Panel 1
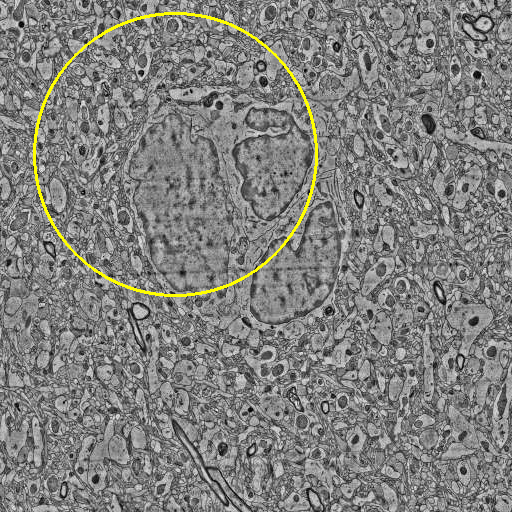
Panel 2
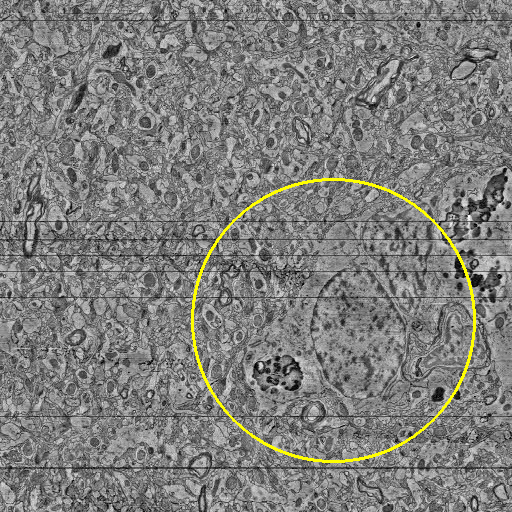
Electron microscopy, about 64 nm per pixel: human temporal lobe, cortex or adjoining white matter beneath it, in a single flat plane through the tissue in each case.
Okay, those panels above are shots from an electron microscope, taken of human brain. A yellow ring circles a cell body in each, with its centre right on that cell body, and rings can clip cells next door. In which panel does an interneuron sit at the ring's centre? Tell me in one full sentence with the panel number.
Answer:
The cell you asked for sits at the ring's centre in panel 1.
